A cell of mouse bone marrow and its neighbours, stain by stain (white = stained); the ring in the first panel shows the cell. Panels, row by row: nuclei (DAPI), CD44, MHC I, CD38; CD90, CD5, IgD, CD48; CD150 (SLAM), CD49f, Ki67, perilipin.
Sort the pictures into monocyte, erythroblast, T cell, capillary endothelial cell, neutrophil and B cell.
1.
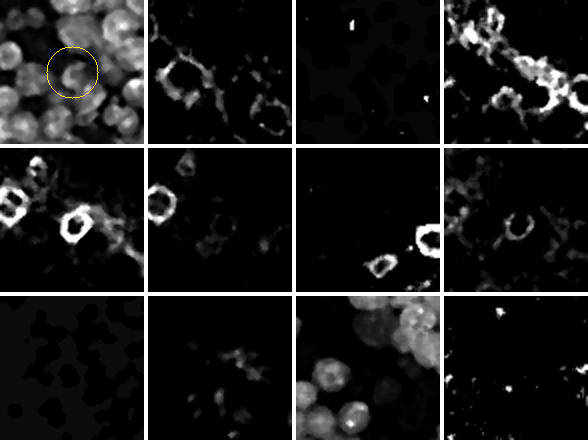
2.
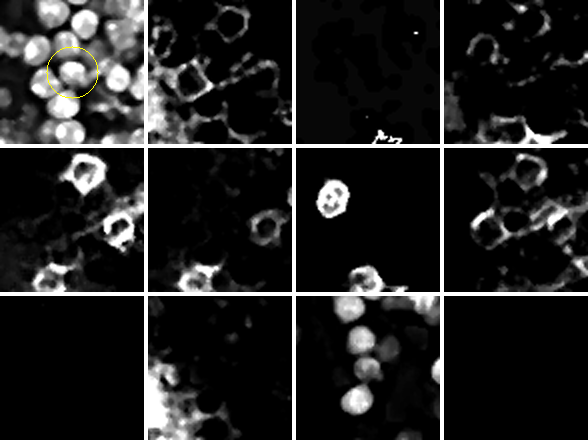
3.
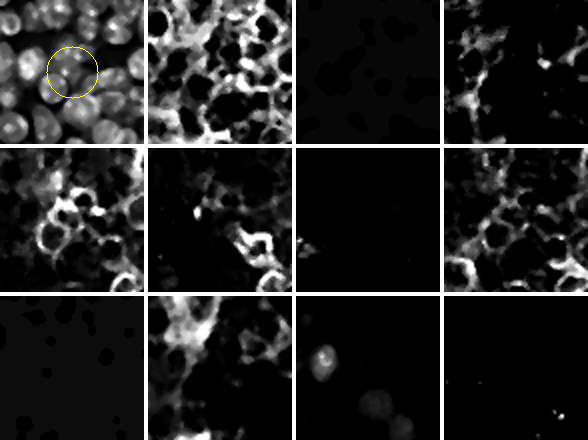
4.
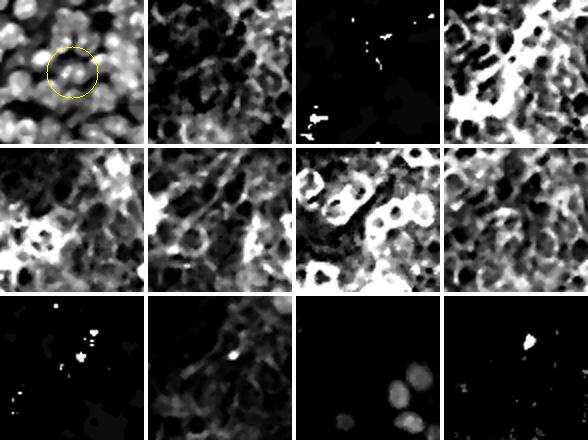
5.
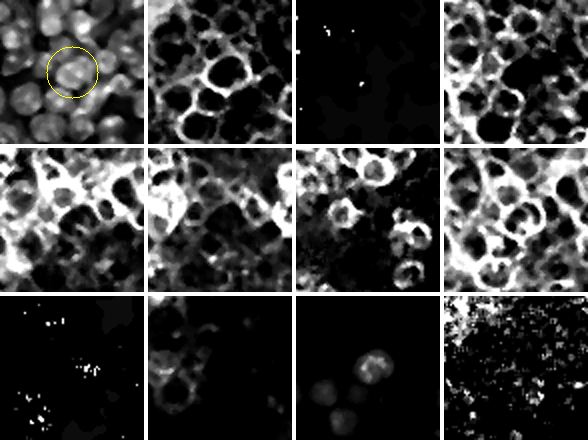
Capillary endothelial cells: 1
Erythroblasts: 2
Neutrophils: 3
B cells: 4
Monocytes: 5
